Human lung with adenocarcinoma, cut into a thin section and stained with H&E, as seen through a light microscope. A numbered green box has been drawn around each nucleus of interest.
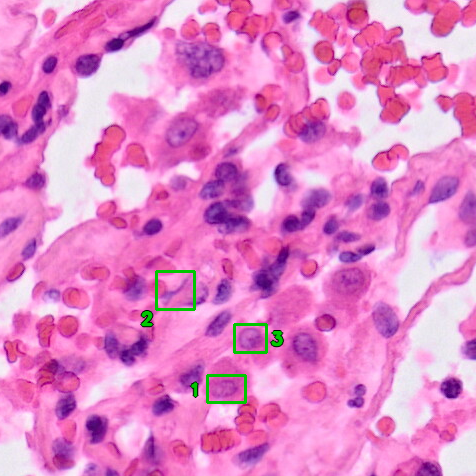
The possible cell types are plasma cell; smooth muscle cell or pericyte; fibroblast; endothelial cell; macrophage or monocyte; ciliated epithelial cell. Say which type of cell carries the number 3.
macrophage or monocyte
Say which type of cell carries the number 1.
macrophage or monocyte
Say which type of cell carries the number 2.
endothelial cell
